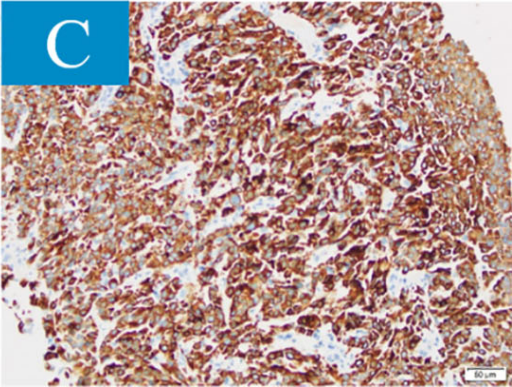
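Tumor tissue in which nearly all tumor cells are stained strongly brown, the brown filling the cytoplasm around the nuclei. The cells lie crowded in solid sheets and cords. Narrow pale blue strands of stroma with few unstained cells run between the brown groups.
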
